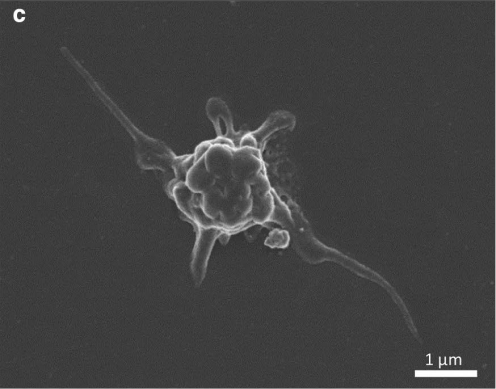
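Here a single platelet is shown by scanning electron microscopy on a smooth background. The central body is rounded and compact, roughly a micrometre or so across, and its surface is lumpy, with several bulging rounded knobs. From the body extend a handful of processes: two are long and tapering, reaching out several micrometres in opposite directions, while others are short and stubby. A small round particle sits close to one side of the cell body.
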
